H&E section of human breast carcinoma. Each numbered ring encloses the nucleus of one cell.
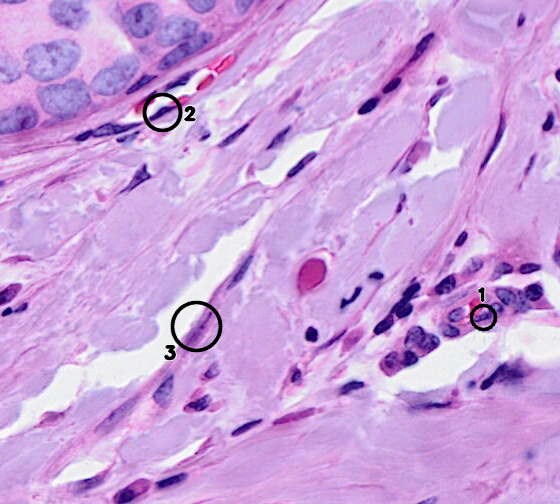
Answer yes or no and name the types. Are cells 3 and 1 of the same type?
No, whereas cell 1 is an endothelial cell, cell 3 is a fibroblast.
